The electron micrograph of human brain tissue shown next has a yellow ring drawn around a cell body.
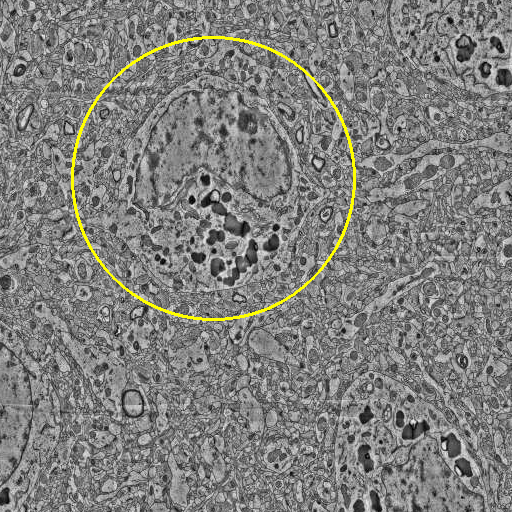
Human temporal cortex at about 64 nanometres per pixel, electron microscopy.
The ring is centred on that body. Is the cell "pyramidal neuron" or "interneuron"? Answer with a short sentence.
The cell in question is an interneuron.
